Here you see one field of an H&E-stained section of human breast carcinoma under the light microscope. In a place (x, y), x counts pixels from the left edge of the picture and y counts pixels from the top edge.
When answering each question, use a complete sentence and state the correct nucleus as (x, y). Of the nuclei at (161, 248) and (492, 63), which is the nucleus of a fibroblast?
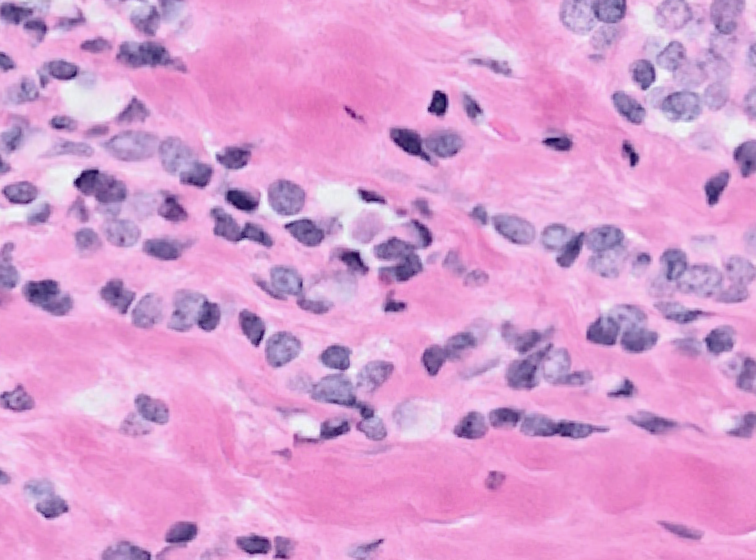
Among the two nuclei, the one found at (492, 63) belongs to a fibroblast.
